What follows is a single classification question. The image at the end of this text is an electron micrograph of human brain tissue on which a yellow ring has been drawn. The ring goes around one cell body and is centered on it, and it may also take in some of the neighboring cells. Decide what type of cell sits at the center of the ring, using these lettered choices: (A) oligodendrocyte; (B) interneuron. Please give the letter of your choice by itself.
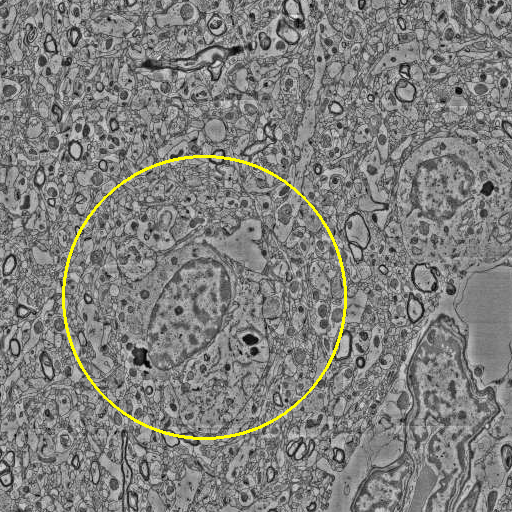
A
